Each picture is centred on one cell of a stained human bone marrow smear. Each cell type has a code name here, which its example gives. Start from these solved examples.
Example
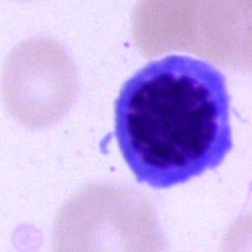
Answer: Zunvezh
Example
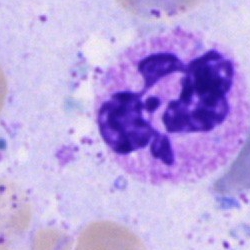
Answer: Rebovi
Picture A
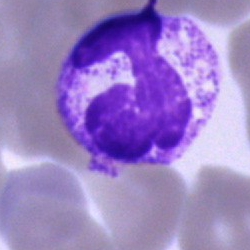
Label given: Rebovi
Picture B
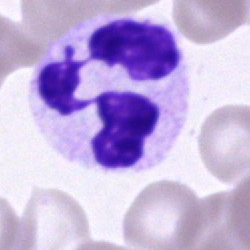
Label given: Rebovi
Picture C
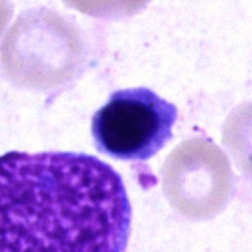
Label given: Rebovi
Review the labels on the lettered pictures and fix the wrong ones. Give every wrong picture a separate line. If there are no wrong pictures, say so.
C: change Rebovi to Zunvezh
